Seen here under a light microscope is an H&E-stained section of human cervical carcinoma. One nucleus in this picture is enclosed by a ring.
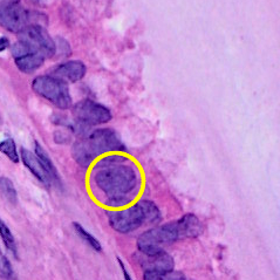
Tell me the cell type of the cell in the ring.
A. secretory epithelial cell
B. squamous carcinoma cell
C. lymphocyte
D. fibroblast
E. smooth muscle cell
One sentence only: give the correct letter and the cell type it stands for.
Option A is correct here; the cell in the ring is a secretory epithelial cell.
